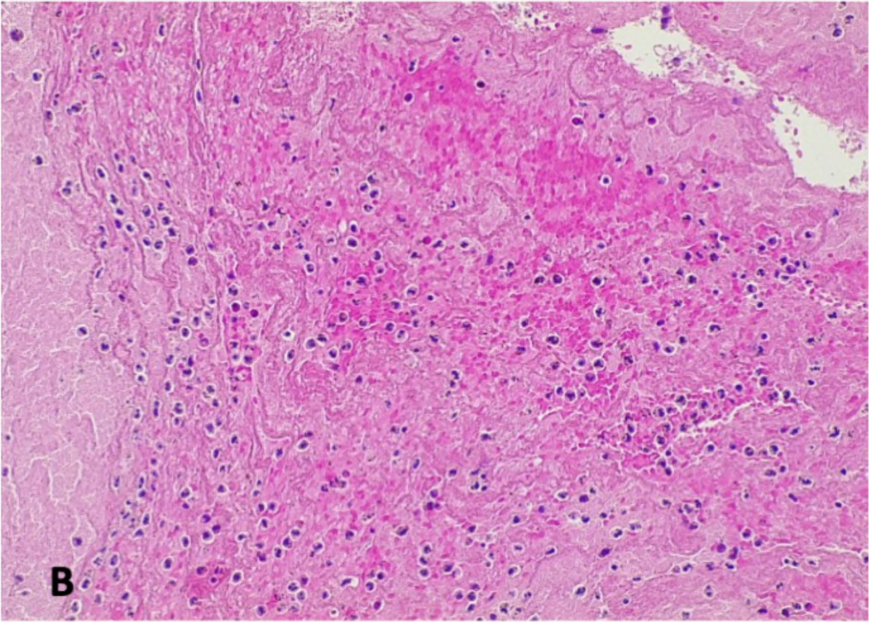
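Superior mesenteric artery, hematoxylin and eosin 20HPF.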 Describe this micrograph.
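Pale pink, wavy fibrillar strands run through the tissue, forming a loose meshwork. Numerous small round white cells with dark, compact, segmented nuclei lie scattered among the strands, in places forming denser clusters. Aggregates of brighter red-pink red blood cells are interspersed, most prominently in the upper and central parts of the field. A small clear space is present at the upper right edge.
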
